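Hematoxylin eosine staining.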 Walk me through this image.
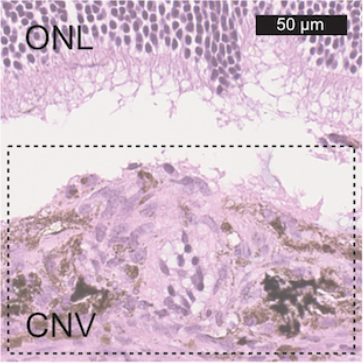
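The upper part shows a band of densely packed, small, round, dark purple nuclei. Below it lie ragged pale pink segment material and an empty cleft. Beneath the cleft rises a dome-shaped mass of disorganised pink tissue. This mass holds spindle-shaped and rounded nuclei, scattered small round spaces and coarse black-brown pigment clumps.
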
